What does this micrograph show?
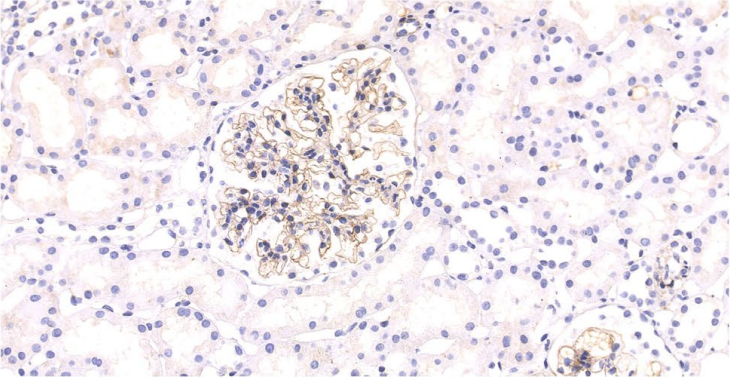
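A glomerulus lies at the centre of kidney cortex, surrounded by cross-sectioned tubules with pale cytoplasm and round blue nuclei. Thin, continuous brown lines follow the walls of the glomerular capillary loops in a linear pattern, with blue nuclei of the tuft between them. Part of a second glomerulus with similar brown outlining appears at the lower right edge.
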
